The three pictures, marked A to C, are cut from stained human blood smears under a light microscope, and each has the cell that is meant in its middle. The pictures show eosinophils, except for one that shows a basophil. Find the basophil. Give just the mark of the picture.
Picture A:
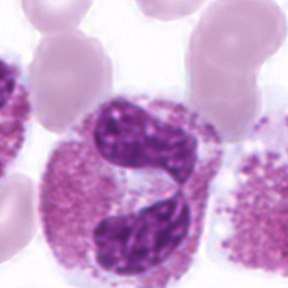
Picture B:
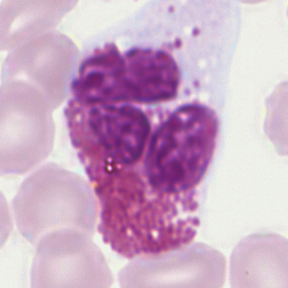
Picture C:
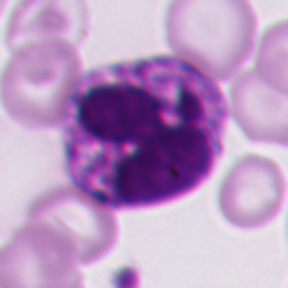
C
